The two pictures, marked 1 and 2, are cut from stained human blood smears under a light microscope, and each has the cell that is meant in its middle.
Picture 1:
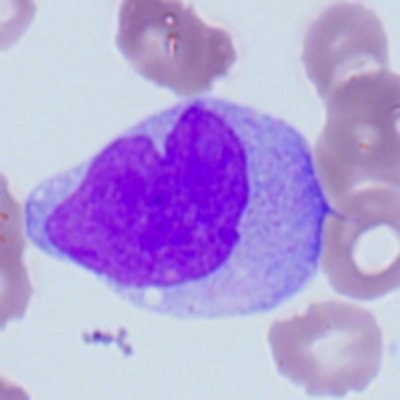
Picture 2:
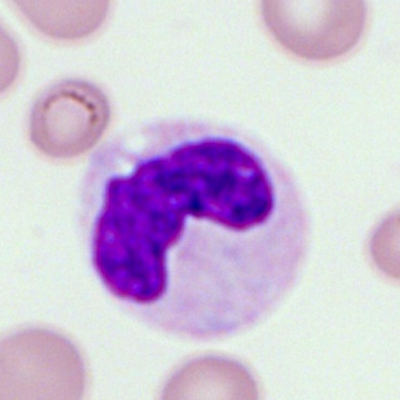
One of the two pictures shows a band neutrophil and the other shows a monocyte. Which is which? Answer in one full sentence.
It is picture 1 that shows a monocyte, and picture 2 that shows a band neutrophil.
